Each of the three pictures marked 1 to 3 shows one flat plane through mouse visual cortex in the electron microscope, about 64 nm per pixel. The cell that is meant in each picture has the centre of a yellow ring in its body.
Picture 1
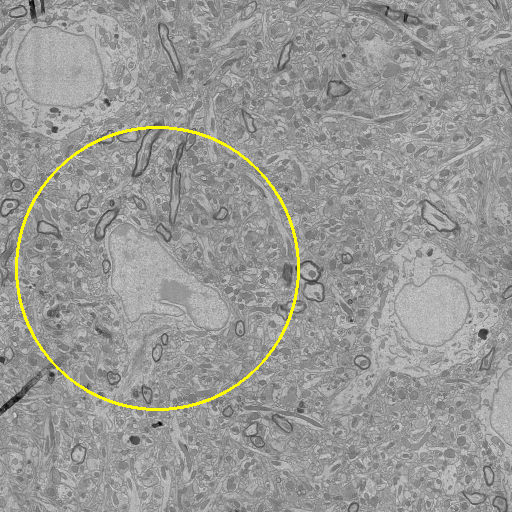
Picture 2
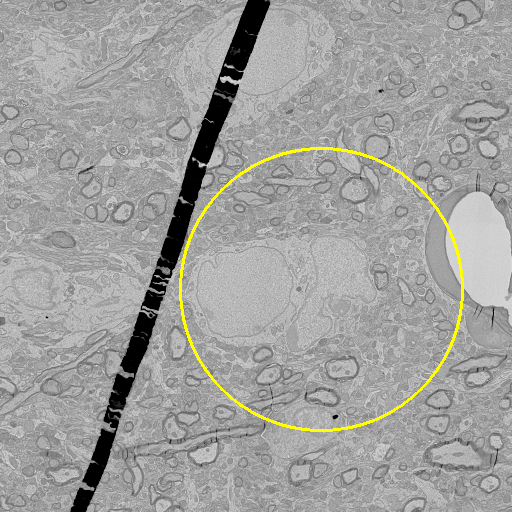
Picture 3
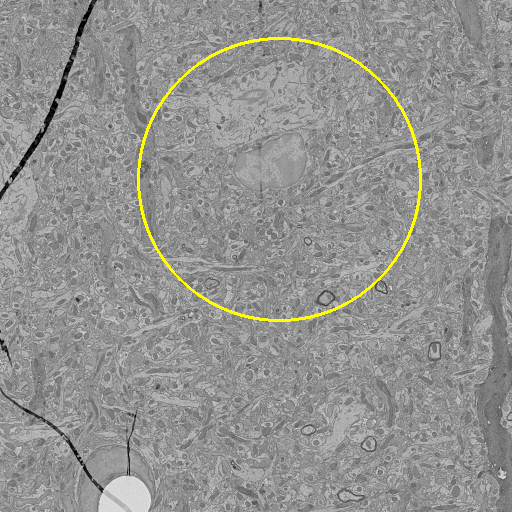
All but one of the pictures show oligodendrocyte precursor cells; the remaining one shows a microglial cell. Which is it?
Picture 3 is the one that shows the microglial cell.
